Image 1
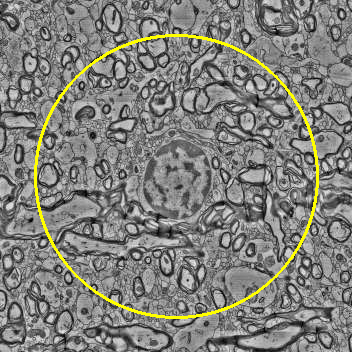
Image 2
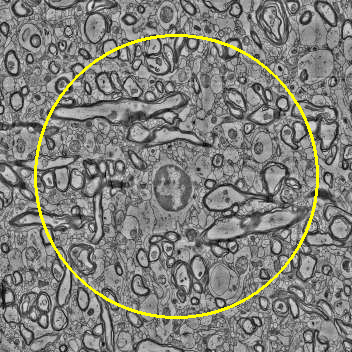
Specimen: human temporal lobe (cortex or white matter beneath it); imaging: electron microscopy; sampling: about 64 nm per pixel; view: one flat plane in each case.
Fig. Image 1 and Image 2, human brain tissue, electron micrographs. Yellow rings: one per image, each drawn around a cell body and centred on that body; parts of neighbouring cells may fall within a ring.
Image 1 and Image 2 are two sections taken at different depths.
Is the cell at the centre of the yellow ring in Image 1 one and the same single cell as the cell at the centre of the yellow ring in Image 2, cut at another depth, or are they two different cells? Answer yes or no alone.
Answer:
yes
